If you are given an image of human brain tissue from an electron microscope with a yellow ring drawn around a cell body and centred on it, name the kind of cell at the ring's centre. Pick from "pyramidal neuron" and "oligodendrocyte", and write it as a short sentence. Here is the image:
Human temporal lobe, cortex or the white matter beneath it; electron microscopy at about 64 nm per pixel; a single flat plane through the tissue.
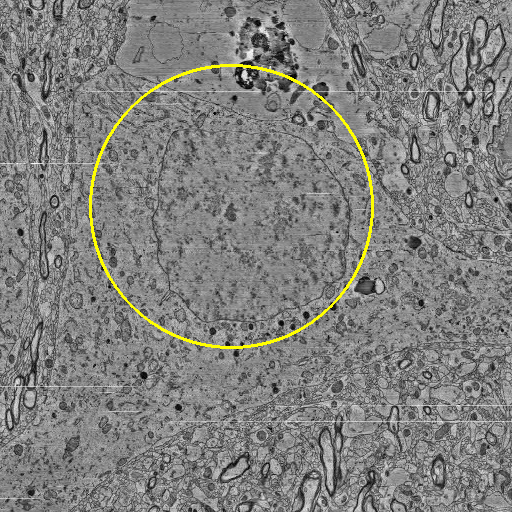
The cell at the ring's centre is a pyramidal neuron.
